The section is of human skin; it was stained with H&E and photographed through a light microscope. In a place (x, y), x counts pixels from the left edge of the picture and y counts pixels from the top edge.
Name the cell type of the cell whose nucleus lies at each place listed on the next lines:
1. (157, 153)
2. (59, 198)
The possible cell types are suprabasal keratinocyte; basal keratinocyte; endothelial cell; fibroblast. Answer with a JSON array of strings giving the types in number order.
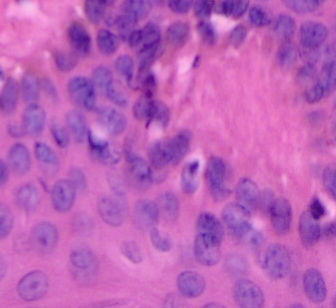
["basal keratinocyte", "suprabasal keratinocyte"]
